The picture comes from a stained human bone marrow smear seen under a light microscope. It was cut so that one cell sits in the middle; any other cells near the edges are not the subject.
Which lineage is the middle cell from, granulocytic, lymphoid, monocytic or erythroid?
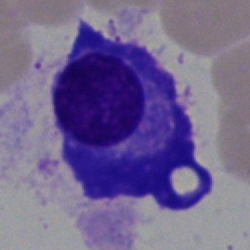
lymphoid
